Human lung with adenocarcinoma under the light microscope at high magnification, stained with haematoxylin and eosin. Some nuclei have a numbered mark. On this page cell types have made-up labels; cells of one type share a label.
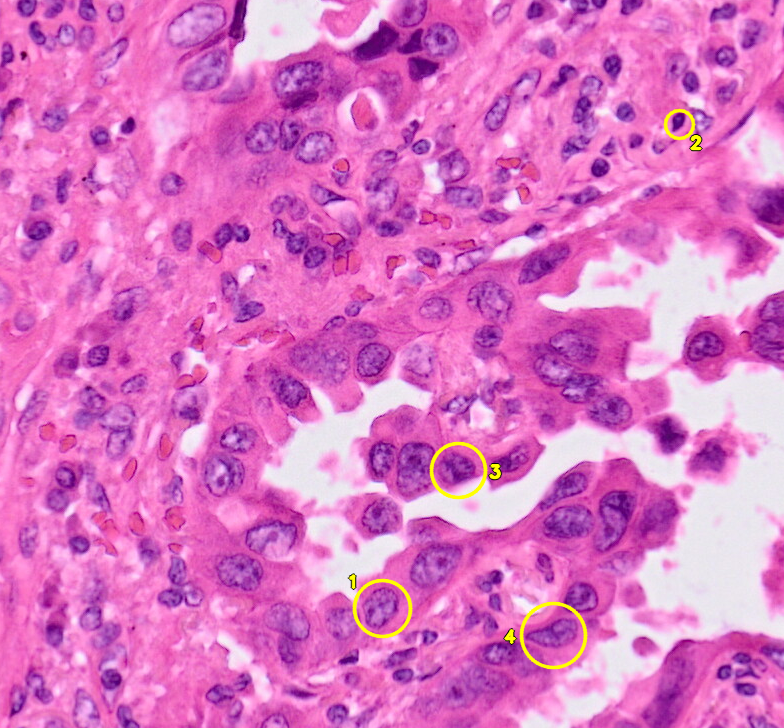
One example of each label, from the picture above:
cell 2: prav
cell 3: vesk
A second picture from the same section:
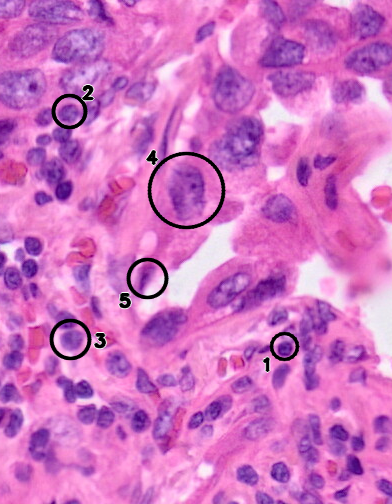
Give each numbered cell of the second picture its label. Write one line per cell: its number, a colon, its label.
1: prav
2: prav
3: prav
4: vesk
5: vesk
